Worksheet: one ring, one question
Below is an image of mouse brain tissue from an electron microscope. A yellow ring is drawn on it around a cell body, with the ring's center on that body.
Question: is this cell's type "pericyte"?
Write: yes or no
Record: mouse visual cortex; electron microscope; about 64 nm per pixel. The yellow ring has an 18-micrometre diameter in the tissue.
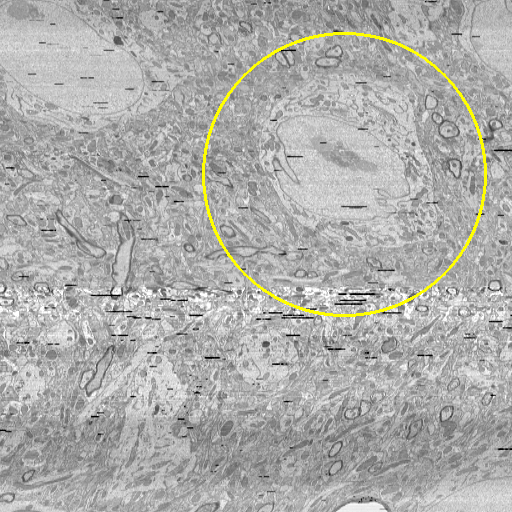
no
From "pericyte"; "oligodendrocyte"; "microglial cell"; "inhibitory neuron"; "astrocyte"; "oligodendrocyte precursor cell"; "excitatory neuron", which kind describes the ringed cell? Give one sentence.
What the ring encloses here is an inhibitory neuron.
